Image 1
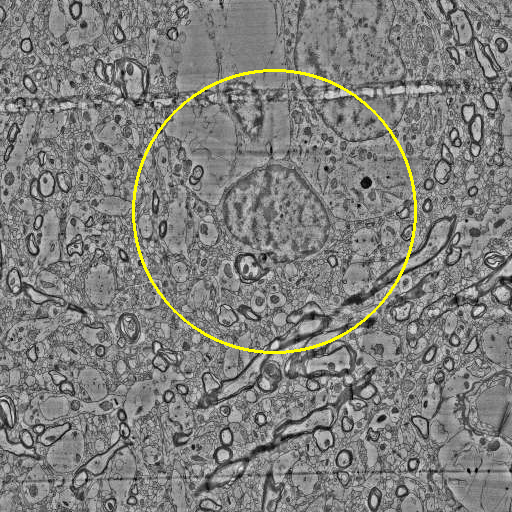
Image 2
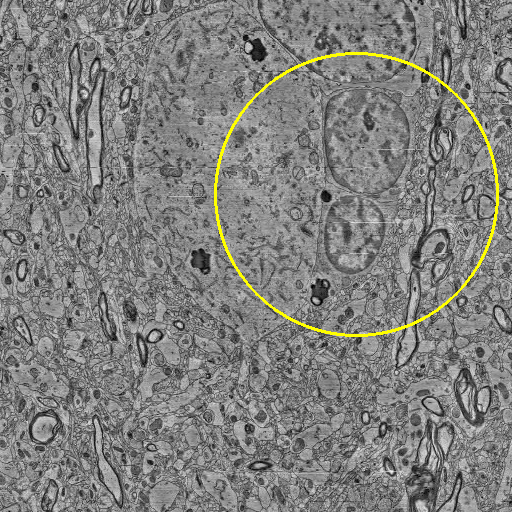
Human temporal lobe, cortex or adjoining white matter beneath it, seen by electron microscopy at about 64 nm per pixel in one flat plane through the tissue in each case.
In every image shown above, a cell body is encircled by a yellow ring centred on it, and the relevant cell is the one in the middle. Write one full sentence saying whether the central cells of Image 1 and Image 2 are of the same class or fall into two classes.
The cell at the ring's centre in Image 1 and its counterpart in Image 2 are of the same class.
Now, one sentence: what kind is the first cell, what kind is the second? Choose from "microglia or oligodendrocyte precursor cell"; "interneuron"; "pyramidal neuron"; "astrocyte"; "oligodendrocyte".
Each of the two cells is an oligodendrocyte.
